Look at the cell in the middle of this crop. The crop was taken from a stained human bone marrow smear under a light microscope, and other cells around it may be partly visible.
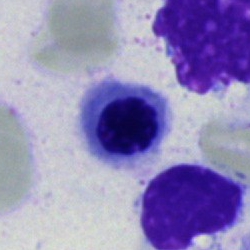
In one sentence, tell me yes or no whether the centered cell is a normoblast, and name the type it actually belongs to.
Yes, the cell sitting in the center is a normoblast.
